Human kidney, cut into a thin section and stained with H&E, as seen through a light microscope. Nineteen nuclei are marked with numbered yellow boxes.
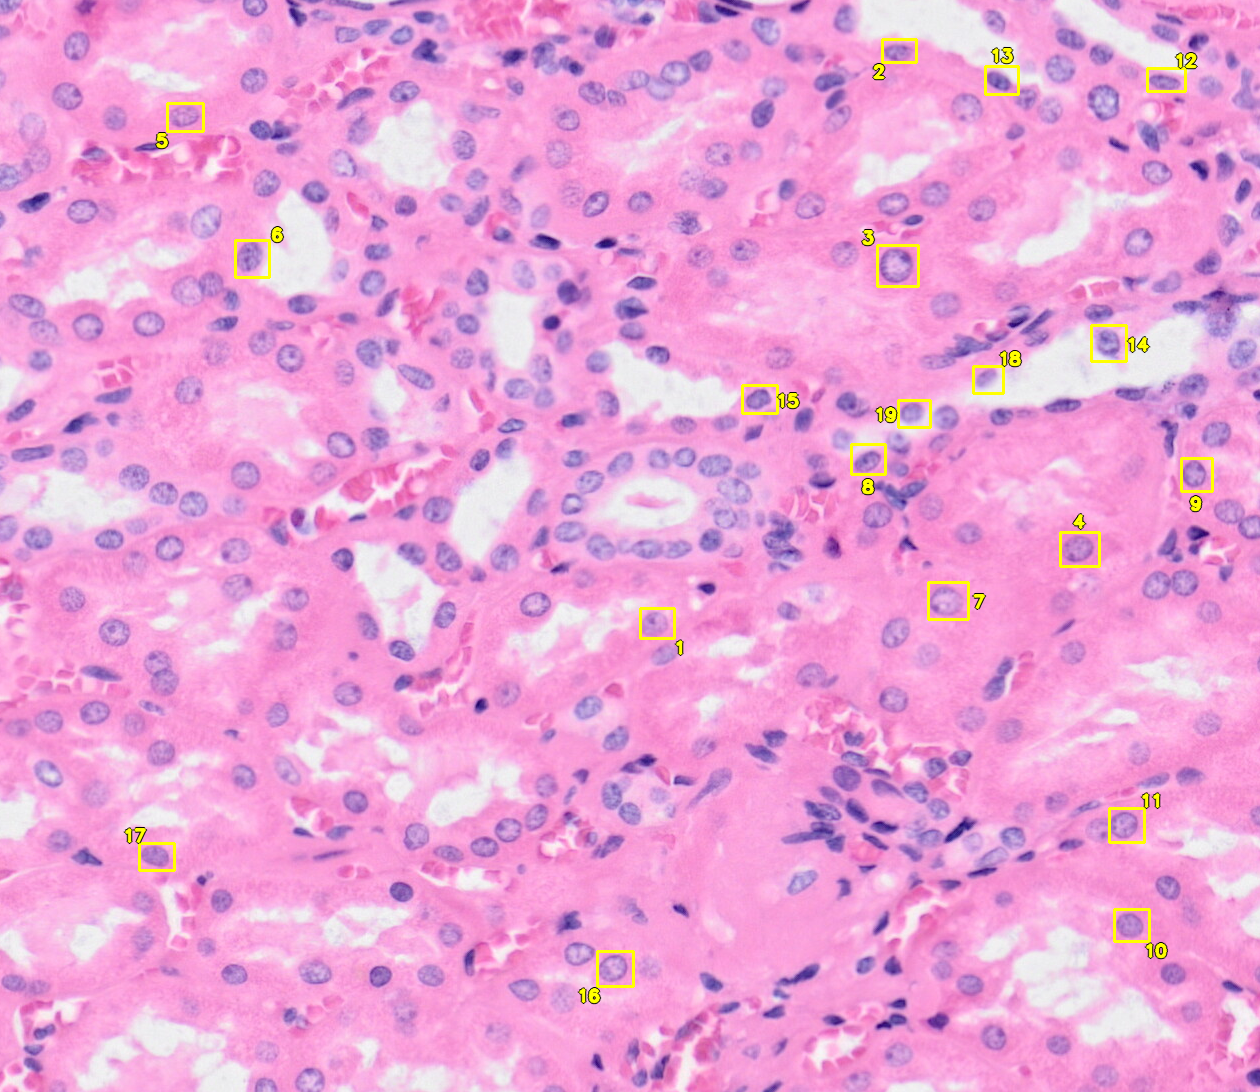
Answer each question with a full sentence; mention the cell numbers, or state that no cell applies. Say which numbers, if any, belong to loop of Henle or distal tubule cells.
The numbers 2, 6, 8, 13, 14, 15, 18 and 19 mark cells that are loop of Henle or distal tubule cells.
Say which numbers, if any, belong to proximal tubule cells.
The cells assigned the numbers 1, 3, 4, 5, 7, 9, 10, 11, 16 and 17 are proximal tubule cells.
